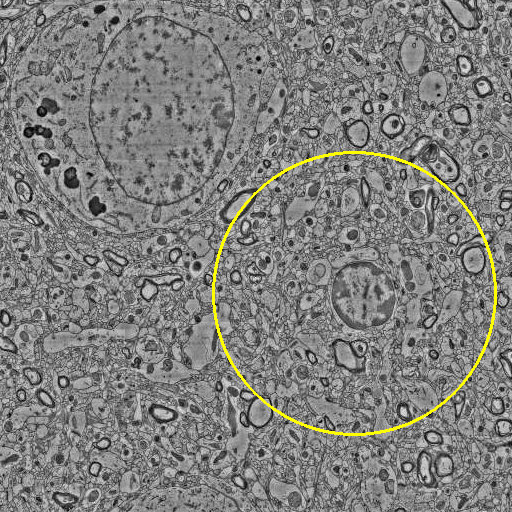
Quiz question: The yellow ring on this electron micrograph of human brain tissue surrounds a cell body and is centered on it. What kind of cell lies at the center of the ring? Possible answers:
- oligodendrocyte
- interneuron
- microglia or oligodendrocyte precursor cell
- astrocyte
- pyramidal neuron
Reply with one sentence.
The ring's center lies on a microglial cell or oligodendrocyte precursor cell.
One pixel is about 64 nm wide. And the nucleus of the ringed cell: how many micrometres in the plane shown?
About 4 micrometres across in this plane.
